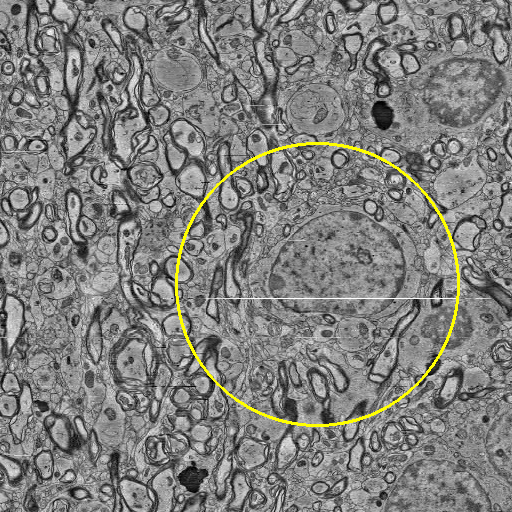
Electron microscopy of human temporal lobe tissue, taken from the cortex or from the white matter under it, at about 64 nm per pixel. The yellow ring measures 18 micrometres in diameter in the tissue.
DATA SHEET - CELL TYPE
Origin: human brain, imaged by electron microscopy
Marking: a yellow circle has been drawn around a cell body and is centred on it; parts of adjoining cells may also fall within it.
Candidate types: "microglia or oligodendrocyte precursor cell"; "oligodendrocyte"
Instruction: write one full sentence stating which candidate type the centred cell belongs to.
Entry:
The cell body at the centre of the yellow ring in this micrograph belongs to a microglial cell or oligodendrocyte precursor cell.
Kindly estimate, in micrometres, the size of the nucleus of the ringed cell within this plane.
About 9 micrometres by about 7 micrometres in this plane.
